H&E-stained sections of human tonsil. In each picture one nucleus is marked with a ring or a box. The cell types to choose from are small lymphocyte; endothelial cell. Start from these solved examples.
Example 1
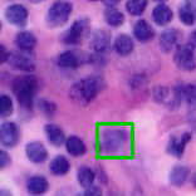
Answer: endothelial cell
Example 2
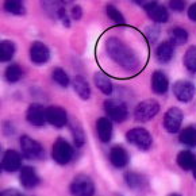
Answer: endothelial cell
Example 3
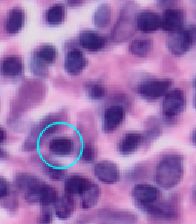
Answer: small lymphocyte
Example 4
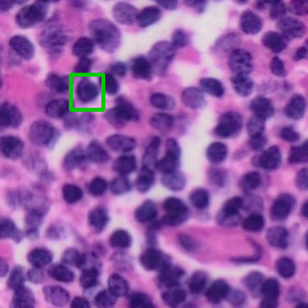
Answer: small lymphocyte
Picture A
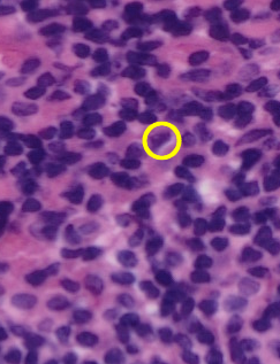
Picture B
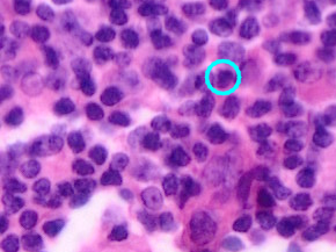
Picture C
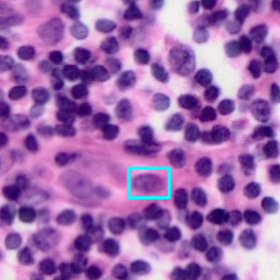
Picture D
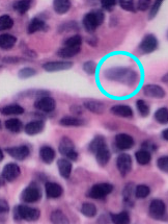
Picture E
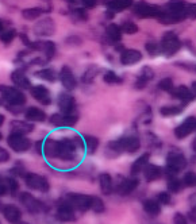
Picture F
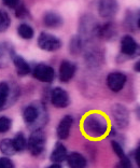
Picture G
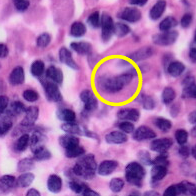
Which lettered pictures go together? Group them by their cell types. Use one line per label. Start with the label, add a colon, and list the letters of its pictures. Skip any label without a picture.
small lymphocyte: B, E
endothelial cell: A, C, D, F, G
